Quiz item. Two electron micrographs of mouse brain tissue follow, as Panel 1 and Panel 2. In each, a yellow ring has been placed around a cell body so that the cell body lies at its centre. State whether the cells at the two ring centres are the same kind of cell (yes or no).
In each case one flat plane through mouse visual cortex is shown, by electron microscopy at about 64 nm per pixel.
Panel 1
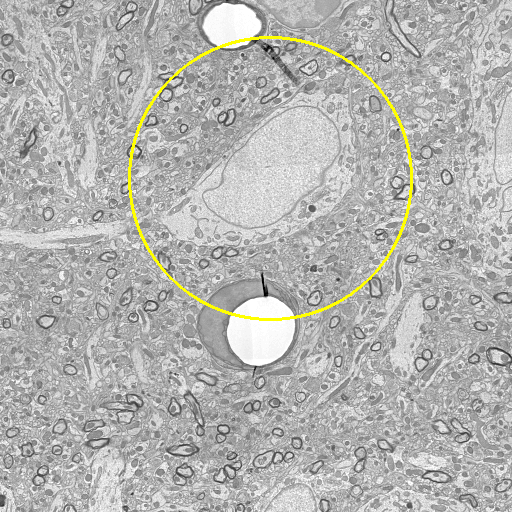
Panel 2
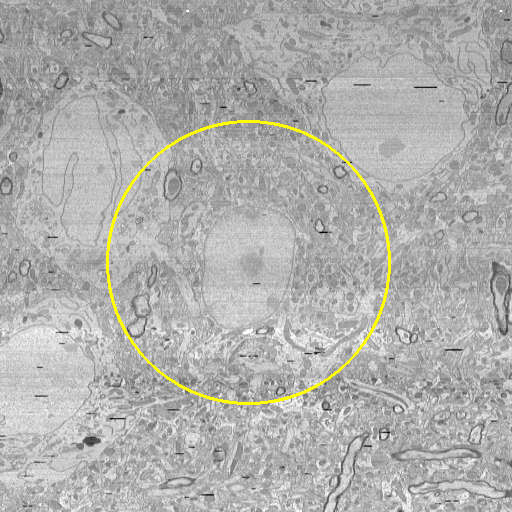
no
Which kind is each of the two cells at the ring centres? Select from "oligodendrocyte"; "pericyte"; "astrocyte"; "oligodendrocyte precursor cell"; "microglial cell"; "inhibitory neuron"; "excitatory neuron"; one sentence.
The cell at the centre of the ring is an excitatory neuron in the first picture and an astrocyte in the second.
